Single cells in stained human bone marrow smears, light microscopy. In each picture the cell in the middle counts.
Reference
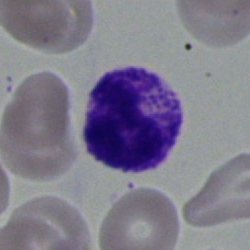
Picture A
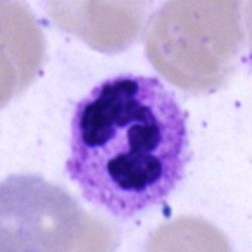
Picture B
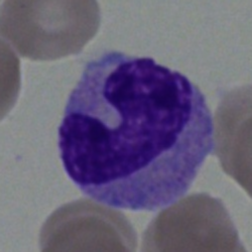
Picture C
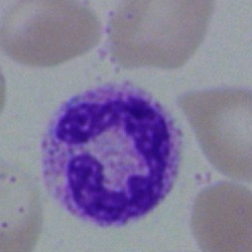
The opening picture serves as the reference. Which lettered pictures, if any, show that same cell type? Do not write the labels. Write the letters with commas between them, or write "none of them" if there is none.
A, C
